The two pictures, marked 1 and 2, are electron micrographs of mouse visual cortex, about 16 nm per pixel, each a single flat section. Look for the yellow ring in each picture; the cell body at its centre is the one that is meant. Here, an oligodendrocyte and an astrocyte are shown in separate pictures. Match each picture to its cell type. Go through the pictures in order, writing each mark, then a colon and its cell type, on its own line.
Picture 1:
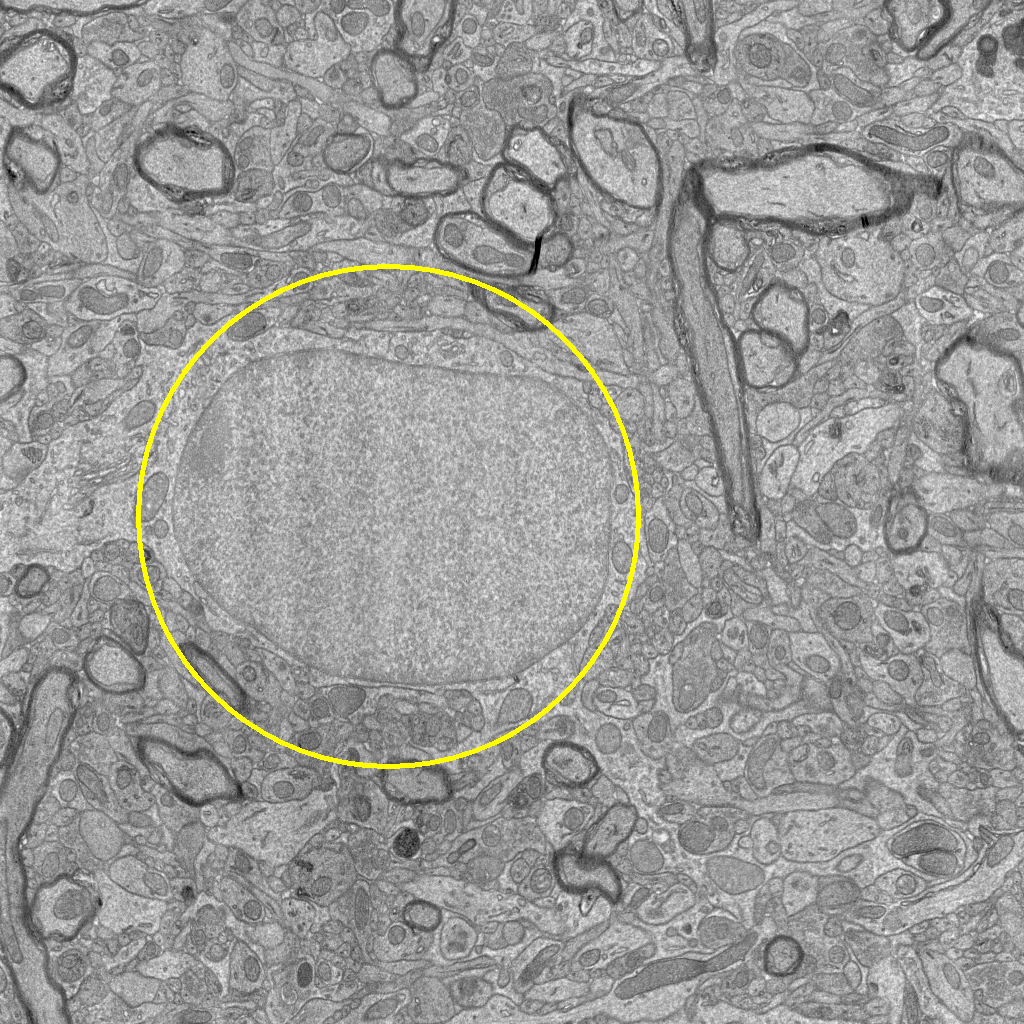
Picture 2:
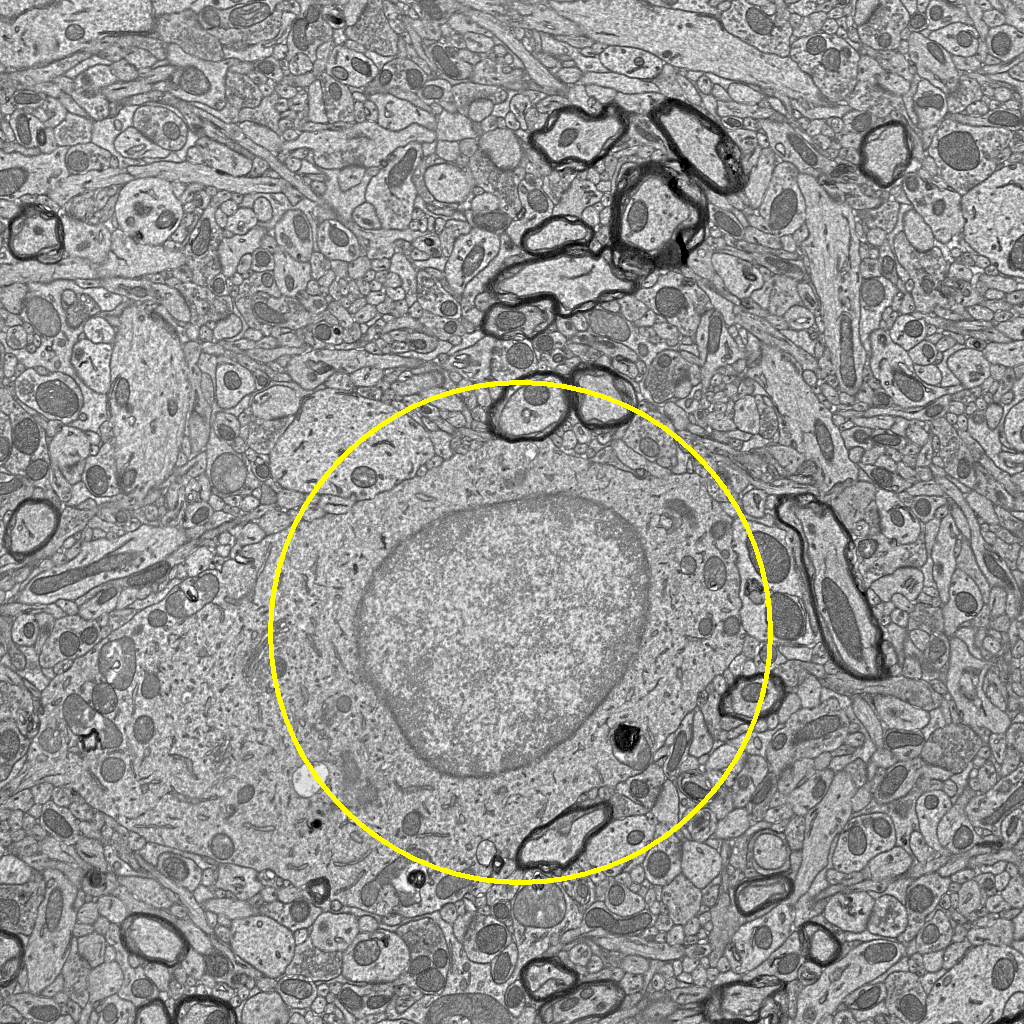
1: astrocyte
2: oligodendrocyte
